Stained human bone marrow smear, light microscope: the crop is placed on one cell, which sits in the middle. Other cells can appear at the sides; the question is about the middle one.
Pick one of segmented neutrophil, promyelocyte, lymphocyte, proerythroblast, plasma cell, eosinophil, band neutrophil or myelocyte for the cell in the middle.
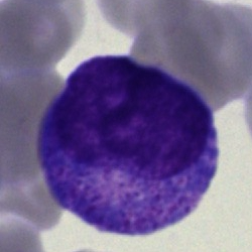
promyelocyte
